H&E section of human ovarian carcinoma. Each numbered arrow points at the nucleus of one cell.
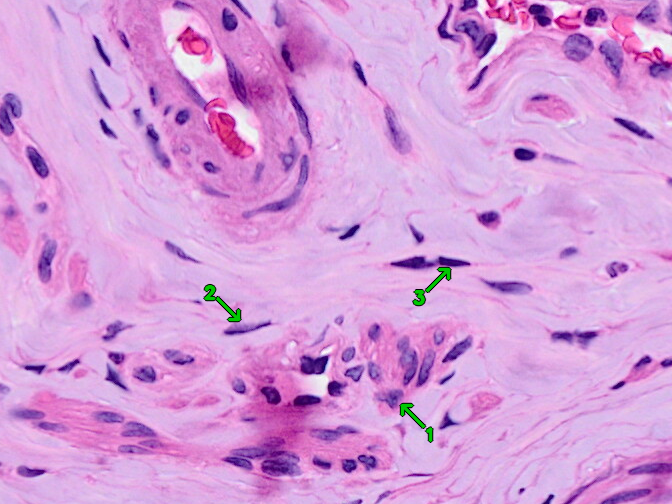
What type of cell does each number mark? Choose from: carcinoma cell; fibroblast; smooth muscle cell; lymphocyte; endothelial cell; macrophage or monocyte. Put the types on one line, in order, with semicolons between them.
smooth muscle cell; fibroblast; fibroblast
